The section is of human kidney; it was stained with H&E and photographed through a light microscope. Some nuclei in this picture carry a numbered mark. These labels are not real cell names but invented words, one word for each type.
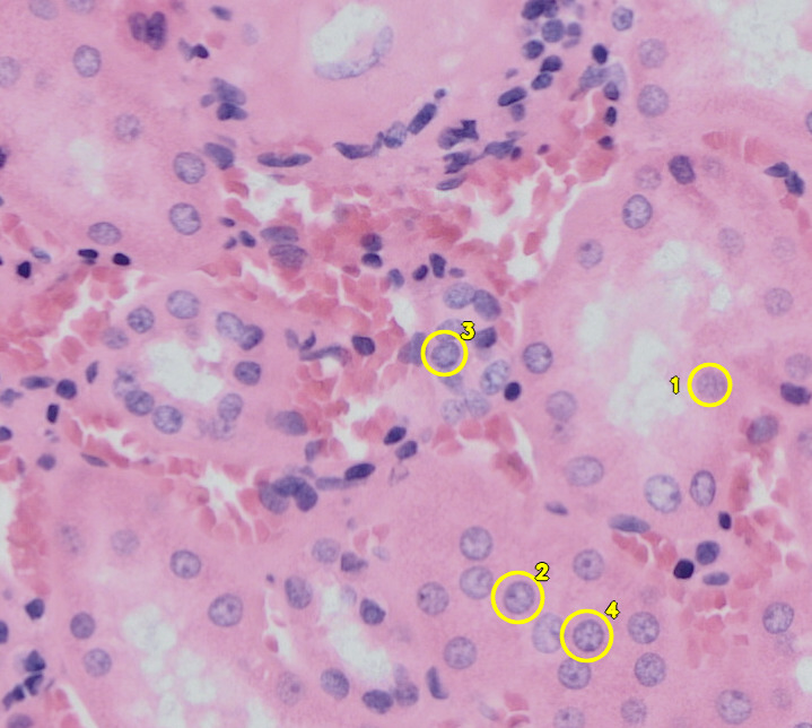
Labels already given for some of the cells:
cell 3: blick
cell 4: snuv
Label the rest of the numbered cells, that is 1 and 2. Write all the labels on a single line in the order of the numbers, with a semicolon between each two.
snuv; snuv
